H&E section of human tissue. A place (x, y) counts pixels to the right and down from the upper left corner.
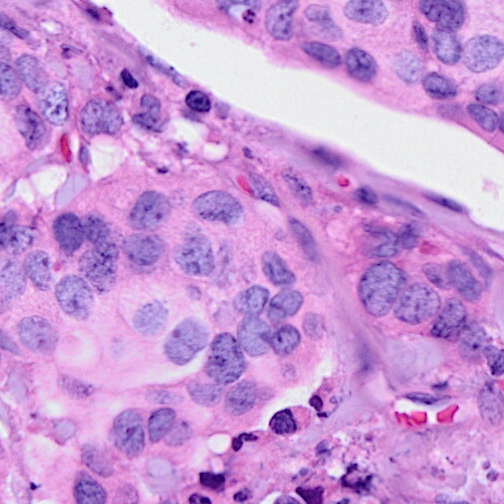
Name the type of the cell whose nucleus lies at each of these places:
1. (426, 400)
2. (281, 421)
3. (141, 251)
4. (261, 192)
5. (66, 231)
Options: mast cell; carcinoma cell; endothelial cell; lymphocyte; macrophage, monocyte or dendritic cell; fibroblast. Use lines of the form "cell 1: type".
cell 1: endothelial cell
cell 2: carcinoma cell
cell 3: carcinoma cell
cell 4: endothelial cell
cell 5: carcinoma cell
